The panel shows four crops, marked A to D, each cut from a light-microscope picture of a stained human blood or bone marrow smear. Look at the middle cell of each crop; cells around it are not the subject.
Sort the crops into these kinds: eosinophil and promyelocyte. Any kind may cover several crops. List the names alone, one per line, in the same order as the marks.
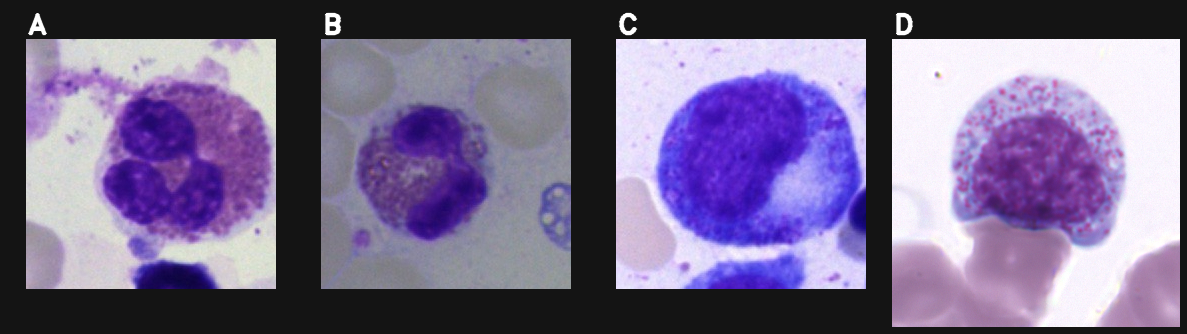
eosinophil
eosinophil
promyelocyte
promyelocyte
